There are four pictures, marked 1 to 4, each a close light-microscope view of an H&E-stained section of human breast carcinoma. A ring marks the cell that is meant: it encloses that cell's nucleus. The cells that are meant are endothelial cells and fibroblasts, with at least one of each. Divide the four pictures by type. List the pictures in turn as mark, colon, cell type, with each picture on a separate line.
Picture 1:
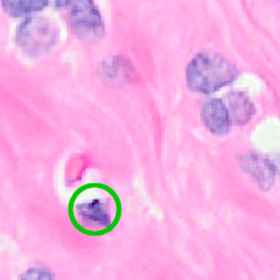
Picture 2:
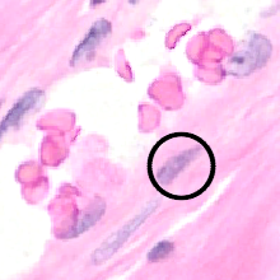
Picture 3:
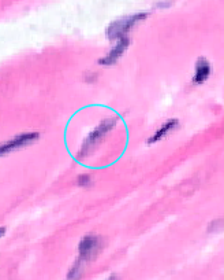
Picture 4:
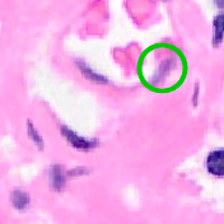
1: endothelial cell
2: endothelial cell
3: fibroblast
4: endothelial cell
